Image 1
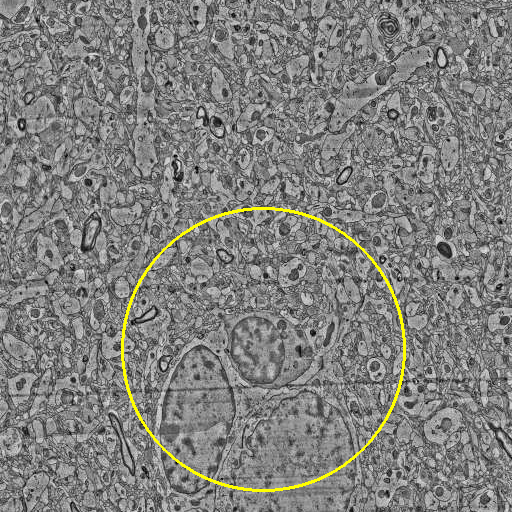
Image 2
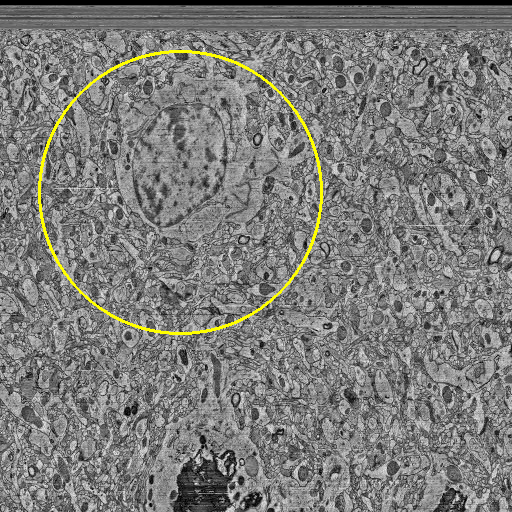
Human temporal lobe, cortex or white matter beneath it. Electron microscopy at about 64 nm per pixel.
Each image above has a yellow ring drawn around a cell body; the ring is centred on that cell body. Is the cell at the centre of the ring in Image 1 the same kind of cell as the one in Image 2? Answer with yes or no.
no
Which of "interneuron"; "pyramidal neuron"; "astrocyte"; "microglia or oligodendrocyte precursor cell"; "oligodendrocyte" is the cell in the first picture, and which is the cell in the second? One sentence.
The two differ: the first cell is an oligodendrocyte and the second is an astrocyte.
